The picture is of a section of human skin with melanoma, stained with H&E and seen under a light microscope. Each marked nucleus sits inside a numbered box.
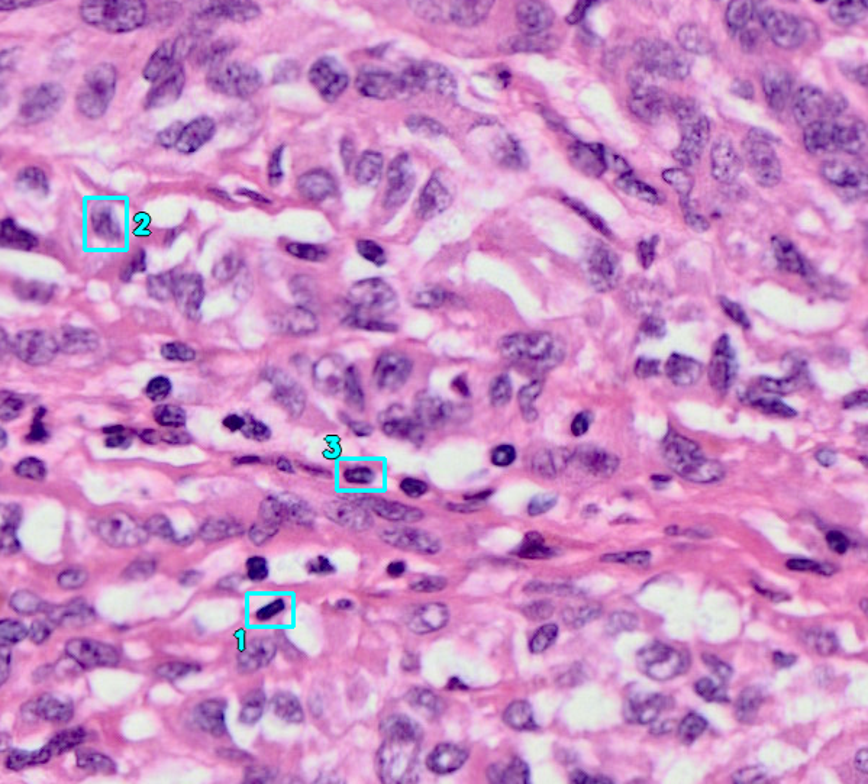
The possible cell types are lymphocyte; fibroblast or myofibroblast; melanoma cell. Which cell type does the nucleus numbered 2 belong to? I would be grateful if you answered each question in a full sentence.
As for number 2, that cell is a melanoma cell.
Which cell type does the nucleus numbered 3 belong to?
As for number 3, that cell is a lymphocyte.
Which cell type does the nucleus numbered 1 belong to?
Identified as a lymphocyte is the cell bearing the number 1.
